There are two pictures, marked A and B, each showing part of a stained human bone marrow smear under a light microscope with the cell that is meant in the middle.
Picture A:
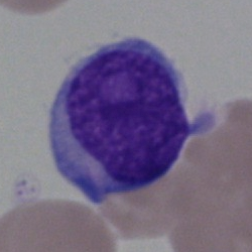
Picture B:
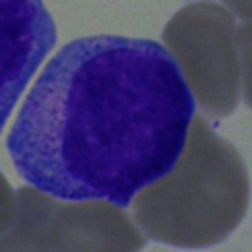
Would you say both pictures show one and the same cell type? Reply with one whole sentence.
Yes; the cells in both pictures are blasts.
